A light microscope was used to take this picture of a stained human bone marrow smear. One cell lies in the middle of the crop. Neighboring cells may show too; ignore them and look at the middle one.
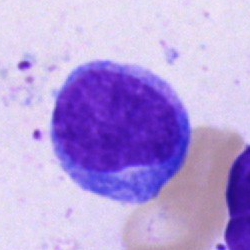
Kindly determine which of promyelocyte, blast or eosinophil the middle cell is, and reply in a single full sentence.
Positioned in the middle of the crop is a blast.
